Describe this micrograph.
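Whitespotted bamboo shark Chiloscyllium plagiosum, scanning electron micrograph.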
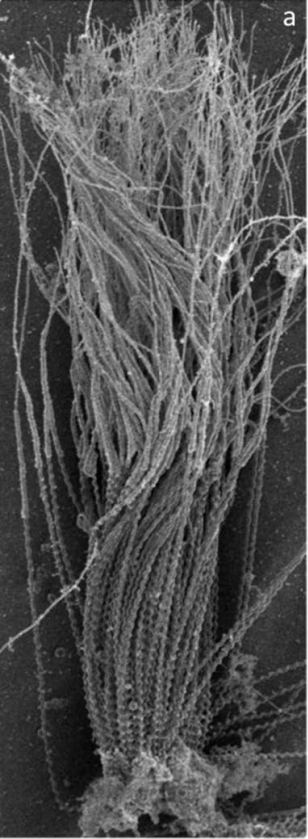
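Dozens of sperm lie packed side by side, their coiled, beaded-looking heads running parallel in the lower half and converging at the base into a rough, amorphous mass of matrix in which they are embedded. Toward the top the cells loosen: the smoother midpieces and long slender tails spread and fan out, crossing and tangling with one another. A few single sperm have strayed from the bundle along its edges, showing the same corkscrew profile as those held within it.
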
